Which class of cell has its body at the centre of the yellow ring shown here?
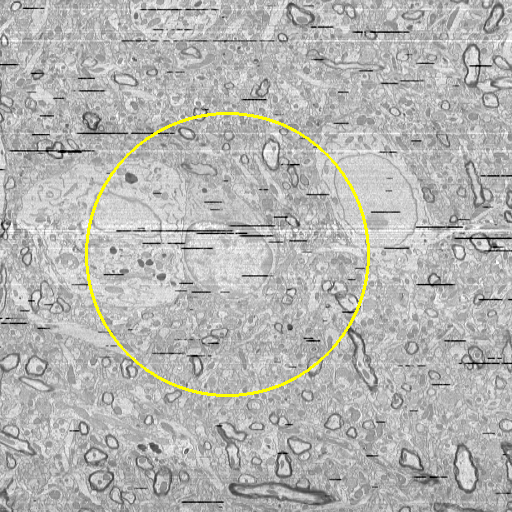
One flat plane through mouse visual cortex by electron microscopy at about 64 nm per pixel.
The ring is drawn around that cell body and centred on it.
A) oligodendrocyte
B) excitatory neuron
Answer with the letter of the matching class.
A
